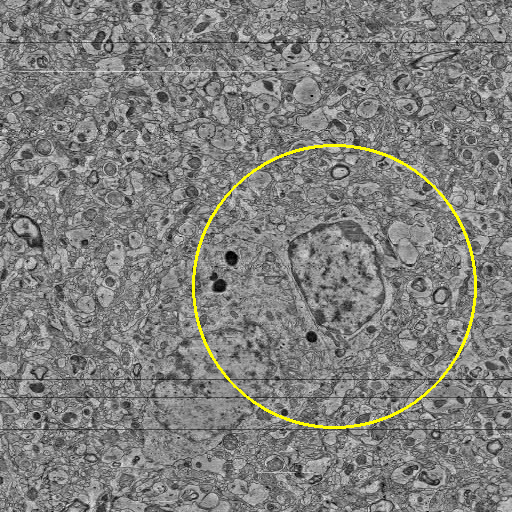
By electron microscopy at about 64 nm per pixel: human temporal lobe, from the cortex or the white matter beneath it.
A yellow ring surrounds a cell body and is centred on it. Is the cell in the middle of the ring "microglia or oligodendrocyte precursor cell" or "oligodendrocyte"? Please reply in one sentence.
The ring is centred on a microglial cell or oligodendrocyte precursor cell.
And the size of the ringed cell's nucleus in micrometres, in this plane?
In this plane, the nucleus is roughly 7 by 6 micrometres.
